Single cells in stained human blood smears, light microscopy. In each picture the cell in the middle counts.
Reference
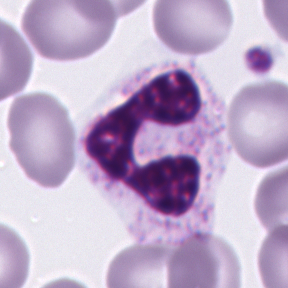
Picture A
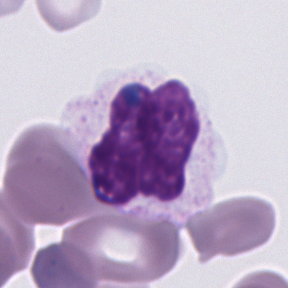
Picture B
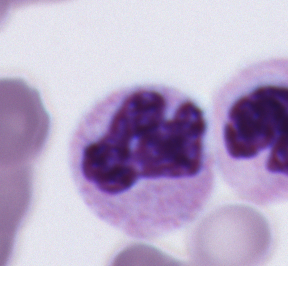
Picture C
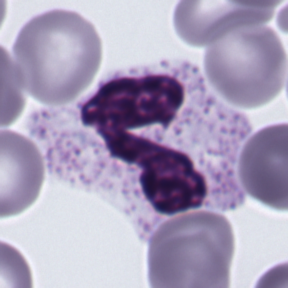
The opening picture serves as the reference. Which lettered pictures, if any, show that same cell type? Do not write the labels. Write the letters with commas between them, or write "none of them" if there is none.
A, B, C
